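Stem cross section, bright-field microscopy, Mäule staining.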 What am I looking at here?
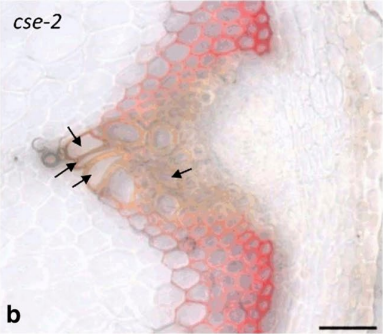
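Small thick-walled fiber cells form a band on either side, reddest at its outer edge. Thin-walled unstained parenchyma cells surround the bundle.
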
